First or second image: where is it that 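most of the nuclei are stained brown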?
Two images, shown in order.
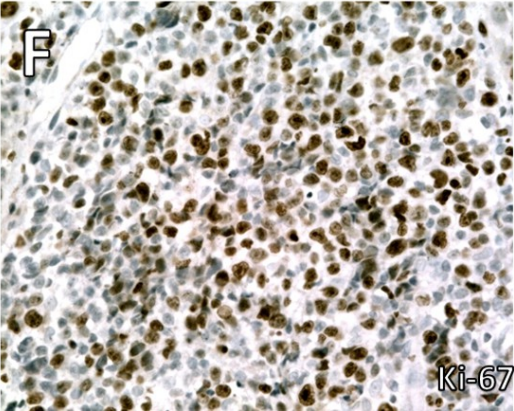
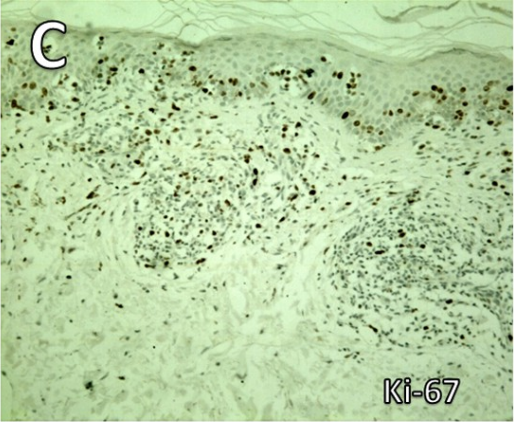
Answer: the first image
